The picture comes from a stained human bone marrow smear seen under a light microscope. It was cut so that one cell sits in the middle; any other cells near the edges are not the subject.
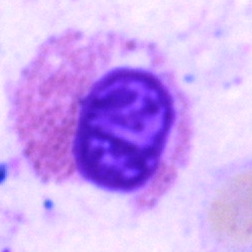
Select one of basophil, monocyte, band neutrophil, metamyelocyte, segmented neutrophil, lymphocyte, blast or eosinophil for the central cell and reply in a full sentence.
The cell that lies at the centre of the crop is a basophil.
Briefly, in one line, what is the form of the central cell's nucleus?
See how the nucleus sits as one compact round, oval or kidney-shaped mass.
